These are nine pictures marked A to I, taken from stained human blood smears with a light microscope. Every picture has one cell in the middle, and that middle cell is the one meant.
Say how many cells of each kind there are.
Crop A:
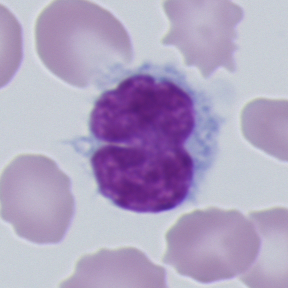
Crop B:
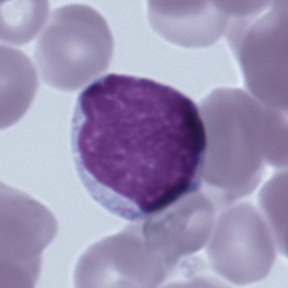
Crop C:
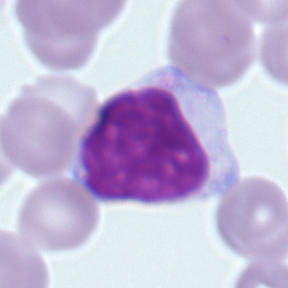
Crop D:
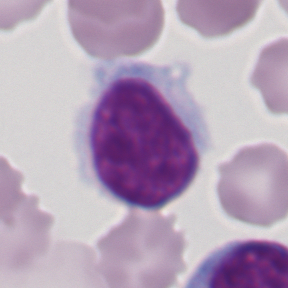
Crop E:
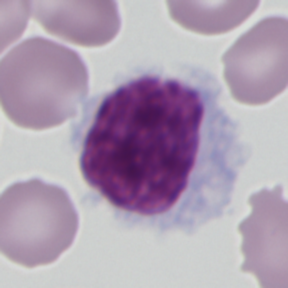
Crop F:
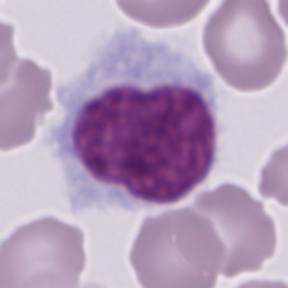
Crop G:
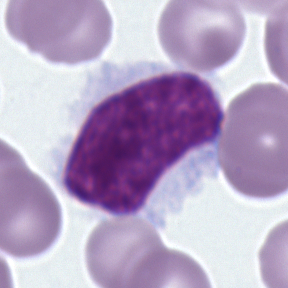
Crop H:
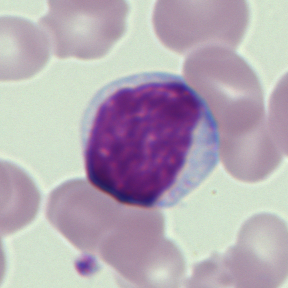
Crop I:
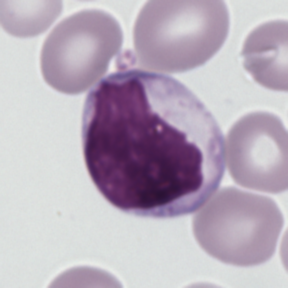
hairy cell: 5
large granular lymphocyte: 4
